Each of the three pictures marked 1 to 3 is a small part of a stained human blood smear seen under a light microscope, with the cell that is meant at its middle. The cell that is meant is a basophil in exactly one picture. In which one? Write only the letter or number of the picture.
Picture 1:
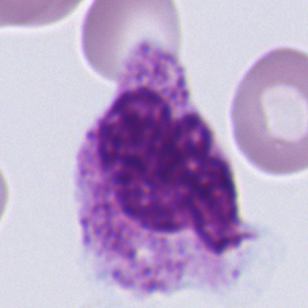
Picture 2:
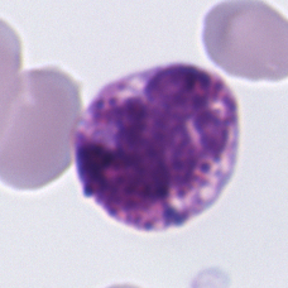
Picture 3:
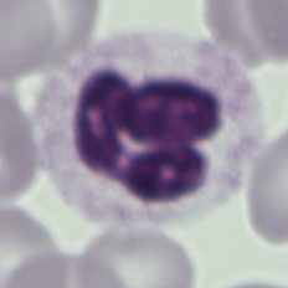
2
